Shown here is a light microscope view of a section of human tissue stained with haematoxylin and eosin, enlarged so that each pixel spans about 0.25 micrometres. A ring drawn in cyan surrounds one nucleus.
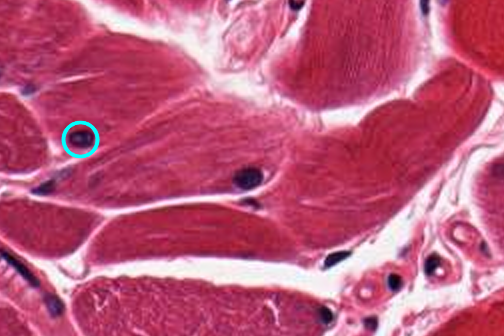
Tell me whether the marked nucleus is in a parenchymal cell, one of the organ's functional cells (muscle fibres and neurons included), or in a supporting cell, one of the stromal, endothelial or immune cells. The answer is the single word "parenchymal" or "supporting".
parenchymal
